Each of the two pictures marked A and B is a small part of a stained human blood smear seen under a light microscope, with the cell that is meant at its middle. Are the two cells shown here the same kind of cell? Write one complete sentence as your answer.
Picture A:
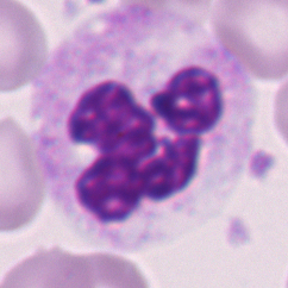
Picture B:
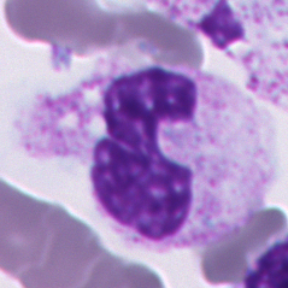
Yes; the cells in both pictures are segmented neutrophils.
